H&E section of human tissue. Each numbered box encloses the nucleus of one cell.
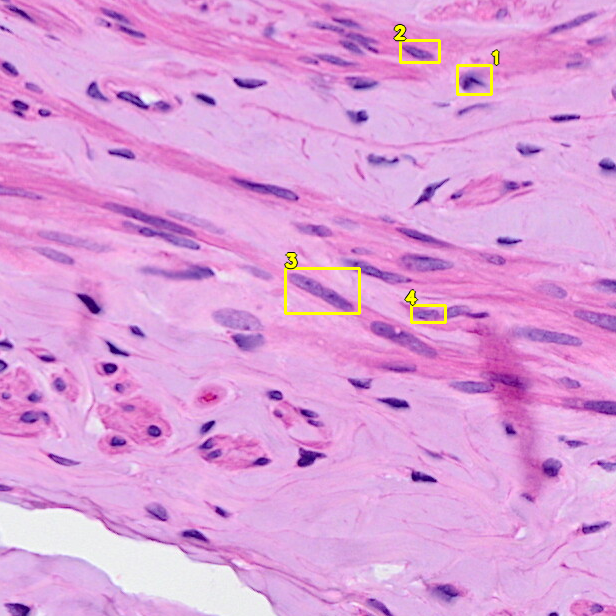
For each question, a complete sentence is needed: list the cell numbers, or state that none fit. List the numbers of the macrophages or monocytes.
No macrophages or monocytes are present among the cells marked with numbers.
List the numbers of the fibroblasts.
There is just one numbered cell that is a fibroblast, and it is cell 1.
